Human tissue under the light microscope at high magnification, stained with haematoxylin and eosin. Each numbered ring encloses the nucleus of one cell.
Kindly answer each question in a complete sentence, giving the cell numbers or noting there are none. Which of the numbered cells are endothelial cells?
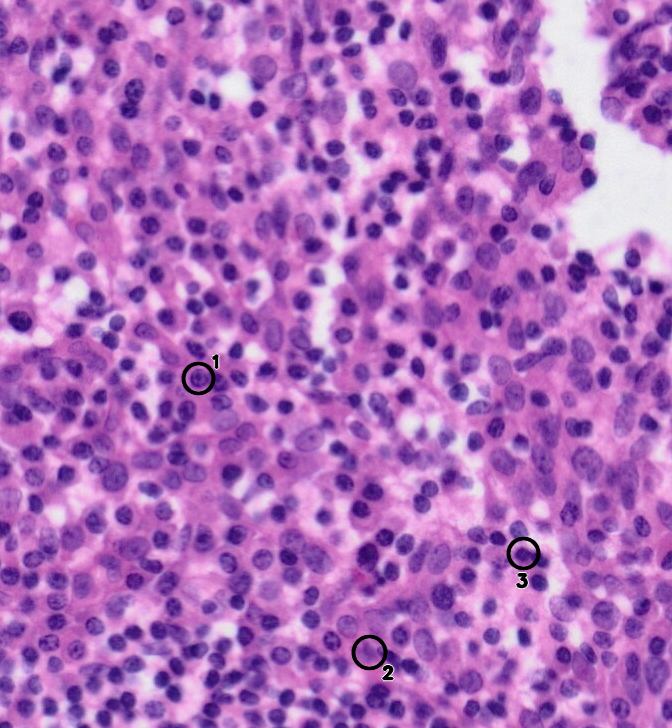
Only one of the numbered nuclei, number 2, belongs to an endothelial cell.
